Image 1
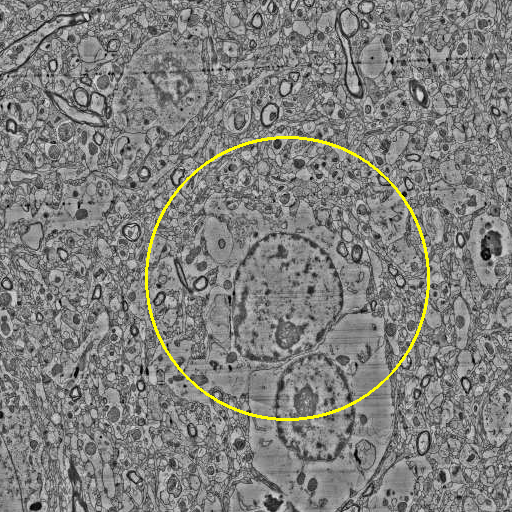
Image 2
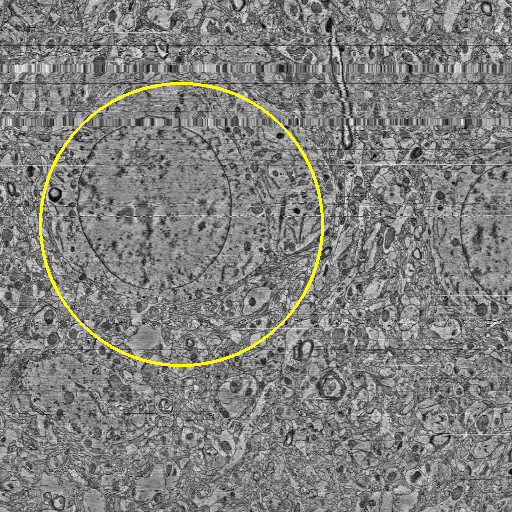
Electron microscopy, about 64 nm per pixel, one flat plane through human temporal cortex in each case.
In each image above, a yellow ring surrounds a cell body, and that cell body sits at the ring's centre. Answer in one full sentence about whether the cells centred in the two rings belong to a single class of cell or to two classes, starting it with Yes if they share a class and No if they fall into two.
No, the cells centred in the two yellow rings belong to two classes of cell.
